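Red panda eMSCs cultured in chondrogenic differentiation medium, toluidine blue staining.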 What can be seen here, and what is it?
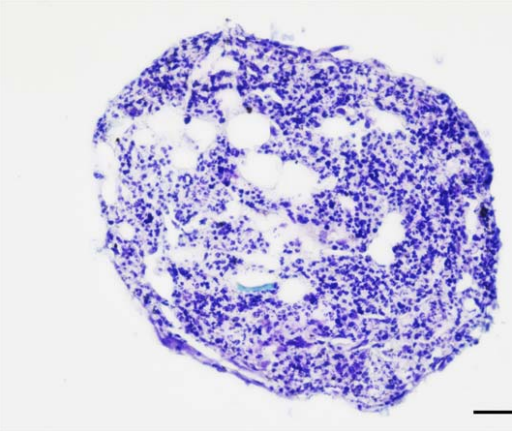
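Scattered clear, empty spaces of varying size lie within the mass, and a pale purplish background is seen between cells in places. A small turquoise patch appears near the lower centre.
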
